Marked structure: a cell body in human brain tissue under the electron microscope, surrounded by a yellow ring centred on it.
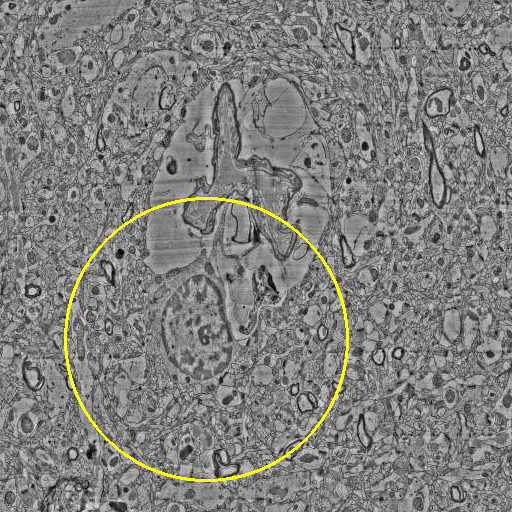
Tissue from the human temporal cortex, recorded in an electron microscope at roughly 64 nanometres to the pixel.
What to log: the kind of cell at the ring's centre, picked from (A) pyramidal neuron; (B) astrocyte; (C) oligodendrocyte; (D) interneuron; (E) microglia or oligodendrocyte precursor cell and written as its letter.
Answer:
C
